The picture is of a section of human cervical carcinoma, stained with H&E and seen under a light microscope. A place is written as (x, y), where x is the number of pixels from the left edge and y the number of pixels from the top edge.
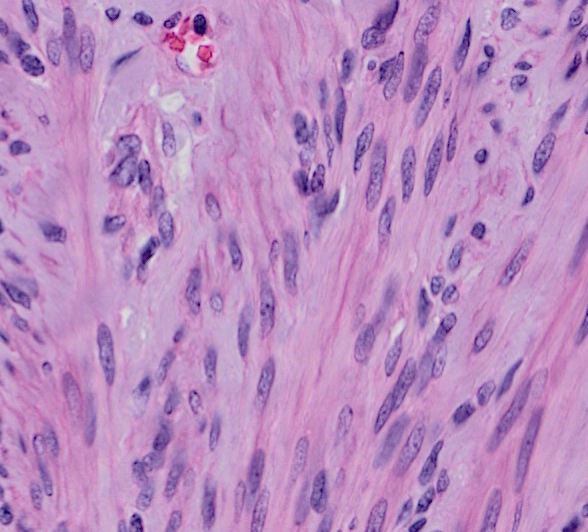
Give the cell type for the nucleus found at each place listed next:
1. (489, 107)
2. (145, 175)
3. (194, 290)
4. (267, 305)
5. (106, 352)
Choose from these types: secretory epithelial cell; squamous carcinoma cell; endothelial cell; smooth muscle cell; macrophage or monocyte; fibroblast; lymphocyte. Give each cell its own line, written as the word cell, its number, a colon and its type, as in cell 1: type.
cell 1: smooth muscle cell
cell 2: endothelial cell
cell 3: smooth muscle cell
cell 4: smooth muscle cell
cell 5: fibroblast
